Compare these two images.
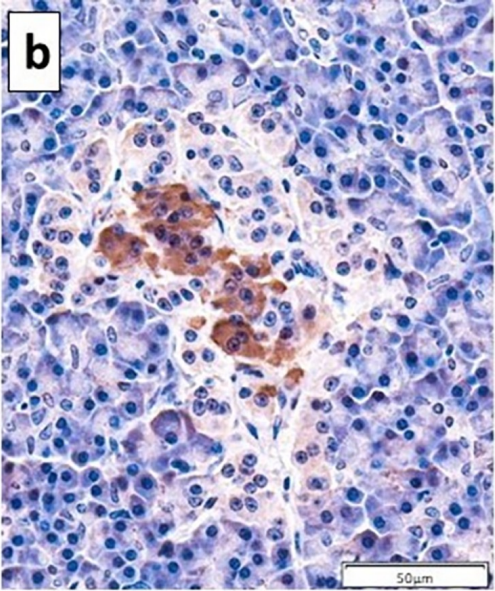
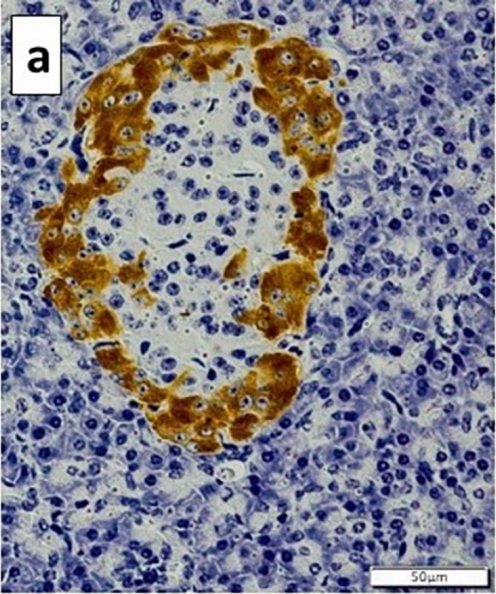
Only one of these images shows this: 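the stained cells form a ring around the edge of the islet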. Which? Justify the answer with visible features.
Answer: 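The second image. First image: the brown cells are grouped in the middle of the cluster.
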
